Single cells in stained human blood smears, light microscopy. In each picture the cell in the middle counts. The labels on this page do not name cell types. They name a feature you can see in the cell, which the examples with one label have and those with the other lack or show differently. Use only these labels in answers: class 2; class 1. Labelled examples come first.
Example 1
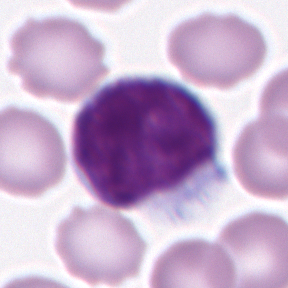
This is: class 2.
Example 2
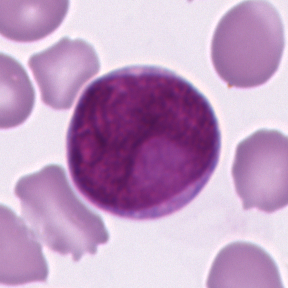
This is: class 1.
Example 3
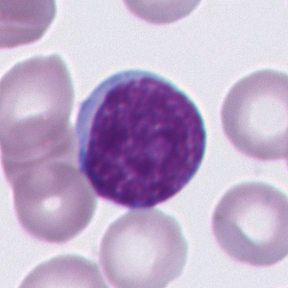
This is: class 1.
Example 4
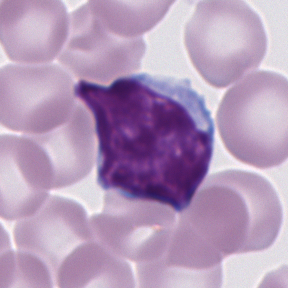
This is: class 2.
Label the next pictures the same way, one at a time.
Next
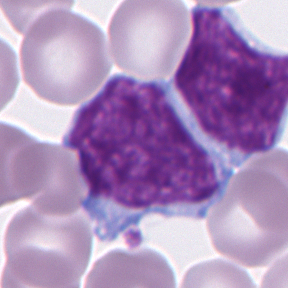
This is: class 2.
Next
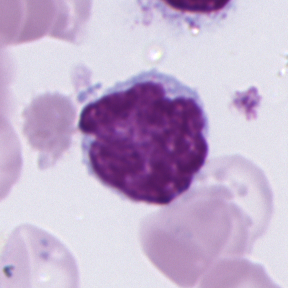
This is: class 2.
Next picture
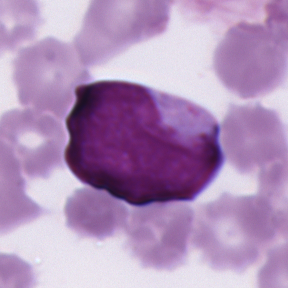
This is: class 2.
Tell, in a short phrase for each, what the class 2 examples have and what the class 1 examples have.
class 2: ragged outline or projections; class 1: smooth outline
